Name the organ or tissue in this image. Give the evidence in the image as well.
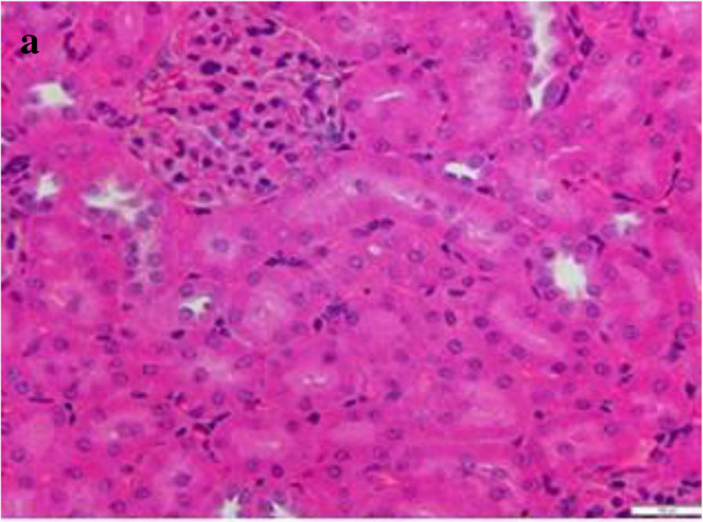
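A rounded tuft of capillaries and nuclei sits inside a thin capsule at the top left. It is surrounded by closely packed tubules lined by pink cuboidal cells with round nuclei. That points to this answer: kidney.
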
